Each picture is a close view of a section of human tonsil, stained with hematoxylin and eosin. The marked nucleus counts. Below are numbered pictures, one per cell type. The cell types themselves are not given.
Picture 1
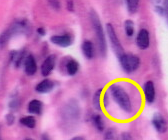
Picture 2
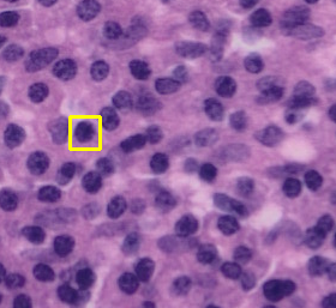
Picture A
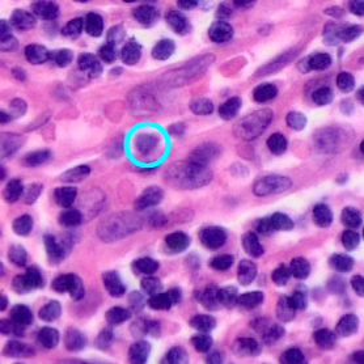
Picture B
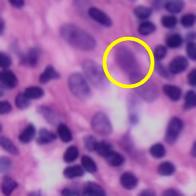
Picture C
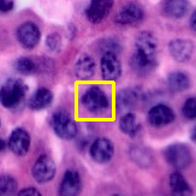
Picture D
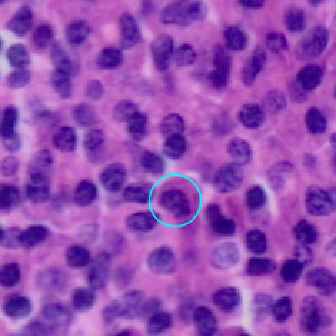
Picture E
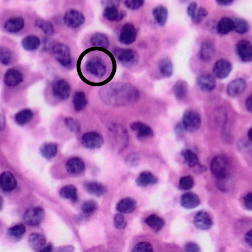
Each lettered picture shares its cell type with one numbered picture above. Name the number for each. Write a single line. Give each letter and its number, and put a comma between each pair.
A 1, B 1, C 2, D 2, E 2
